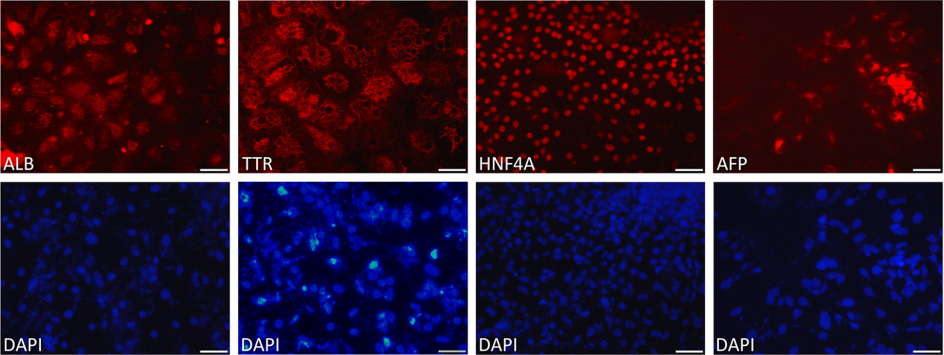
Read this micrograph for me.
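In the third field the red is confined to round nuclei, spaced fairly evenly across the sheet. In the fourth field the red is patchy, bright in a small cluster of cells and faint elsewhere, while the blue images show many closely packed round to oval nuclei throughout.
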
